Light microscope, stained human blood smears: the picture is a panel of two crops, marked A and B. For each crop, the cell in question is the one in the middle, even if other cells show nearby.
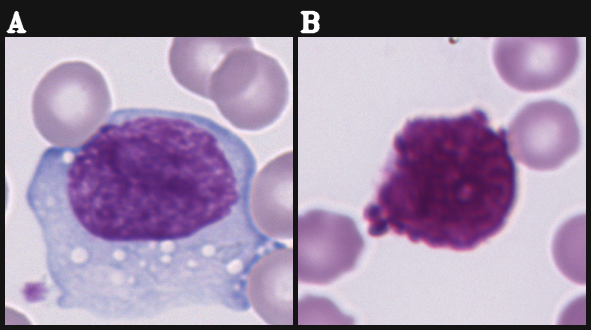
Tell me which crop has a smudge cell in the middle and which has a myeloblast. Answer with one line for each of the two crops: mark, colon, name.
A: myeloblast
B: smudge cell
